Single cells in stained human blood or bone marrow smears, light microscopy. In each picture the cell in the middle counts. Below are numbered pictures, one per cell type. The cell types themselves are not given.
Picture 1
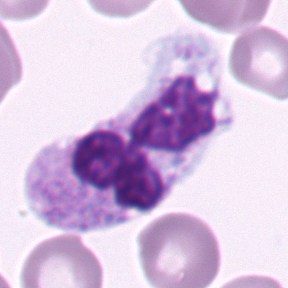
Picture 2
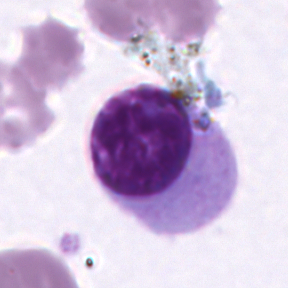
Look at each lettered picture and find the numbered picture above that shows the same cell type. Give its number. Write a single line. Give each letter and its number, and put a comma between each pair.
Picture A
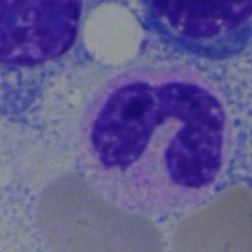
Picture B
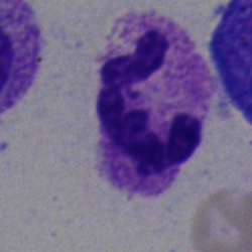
A 1, B 1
